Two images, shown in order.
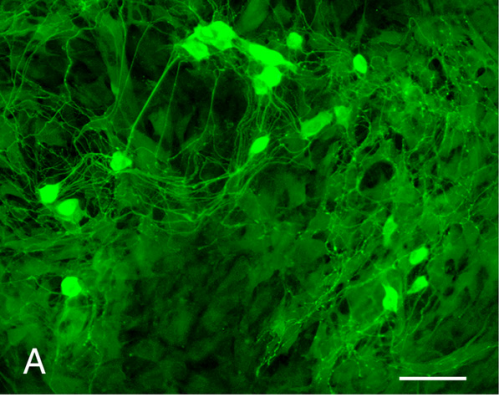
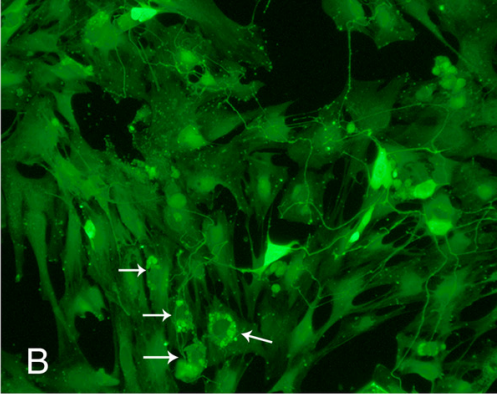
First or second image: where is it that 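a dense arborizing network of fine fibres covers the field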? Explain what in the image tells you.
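Second image: few fine fibres, mostly flat spread cells with gaps between them. So: the first image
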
